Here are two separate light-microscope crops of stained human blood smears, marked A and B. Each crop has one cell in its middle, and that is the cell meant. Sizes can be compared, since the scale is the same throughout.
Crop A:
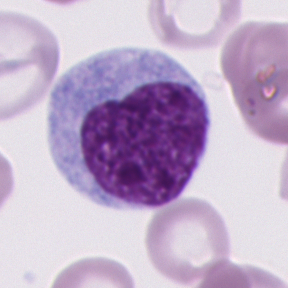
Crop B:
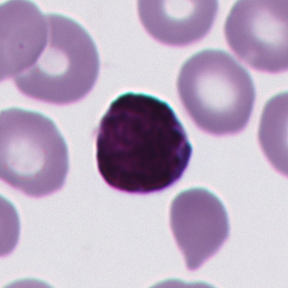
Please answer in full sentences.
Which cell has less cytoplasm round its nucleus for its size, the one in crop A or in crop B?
In crop B the nucleus takes up the larger part of its cell.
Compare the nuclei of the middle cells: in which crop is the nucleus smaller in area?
The nucleus in crop B is smaller; the one in crop A has about 1.5 times its area.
